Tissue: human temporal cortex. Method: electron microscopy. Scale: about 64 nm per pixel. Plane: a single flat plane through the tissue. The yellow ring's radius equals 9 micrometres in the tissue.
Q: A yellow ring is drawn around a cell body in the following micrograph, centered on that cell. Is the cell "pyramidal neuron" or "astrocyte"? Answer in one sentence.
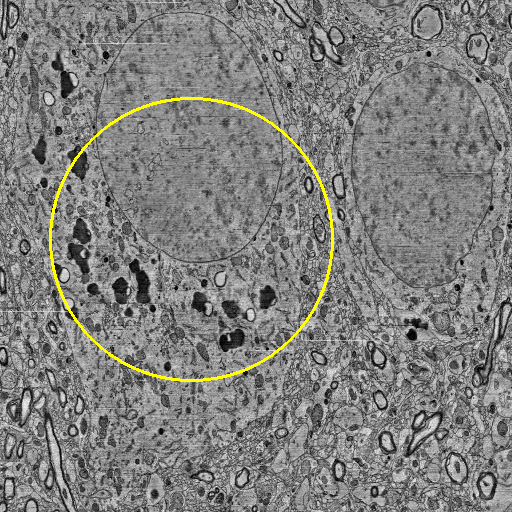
The cell in the center of the ring is a pyramidal neuron.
